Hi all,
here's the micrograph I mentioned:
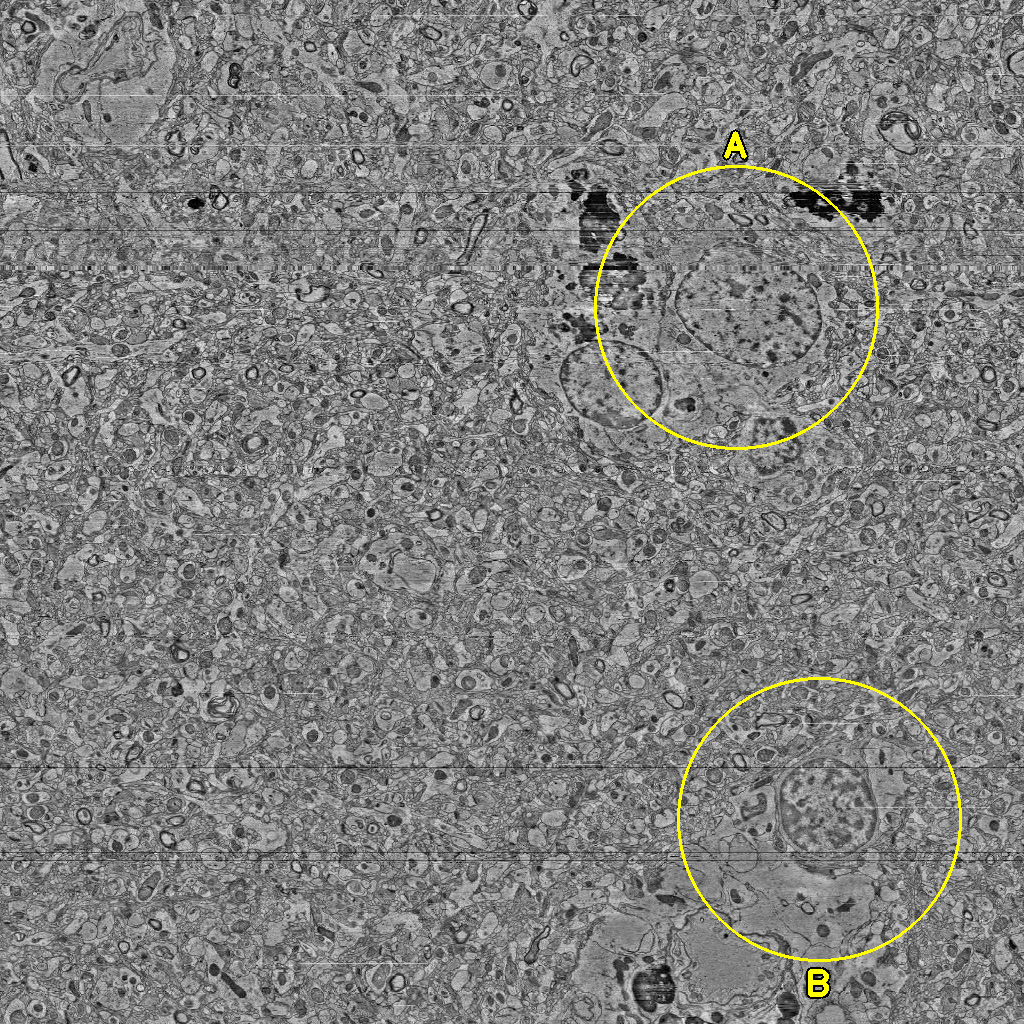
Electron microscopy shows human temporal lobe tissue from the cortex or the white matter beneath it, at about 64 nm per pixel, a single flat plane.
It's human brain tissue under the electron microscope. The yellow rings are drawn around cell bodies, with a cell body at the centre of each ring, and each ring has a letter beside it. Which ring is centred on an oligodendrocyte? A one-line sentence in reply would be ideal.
It's the one labelled B.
